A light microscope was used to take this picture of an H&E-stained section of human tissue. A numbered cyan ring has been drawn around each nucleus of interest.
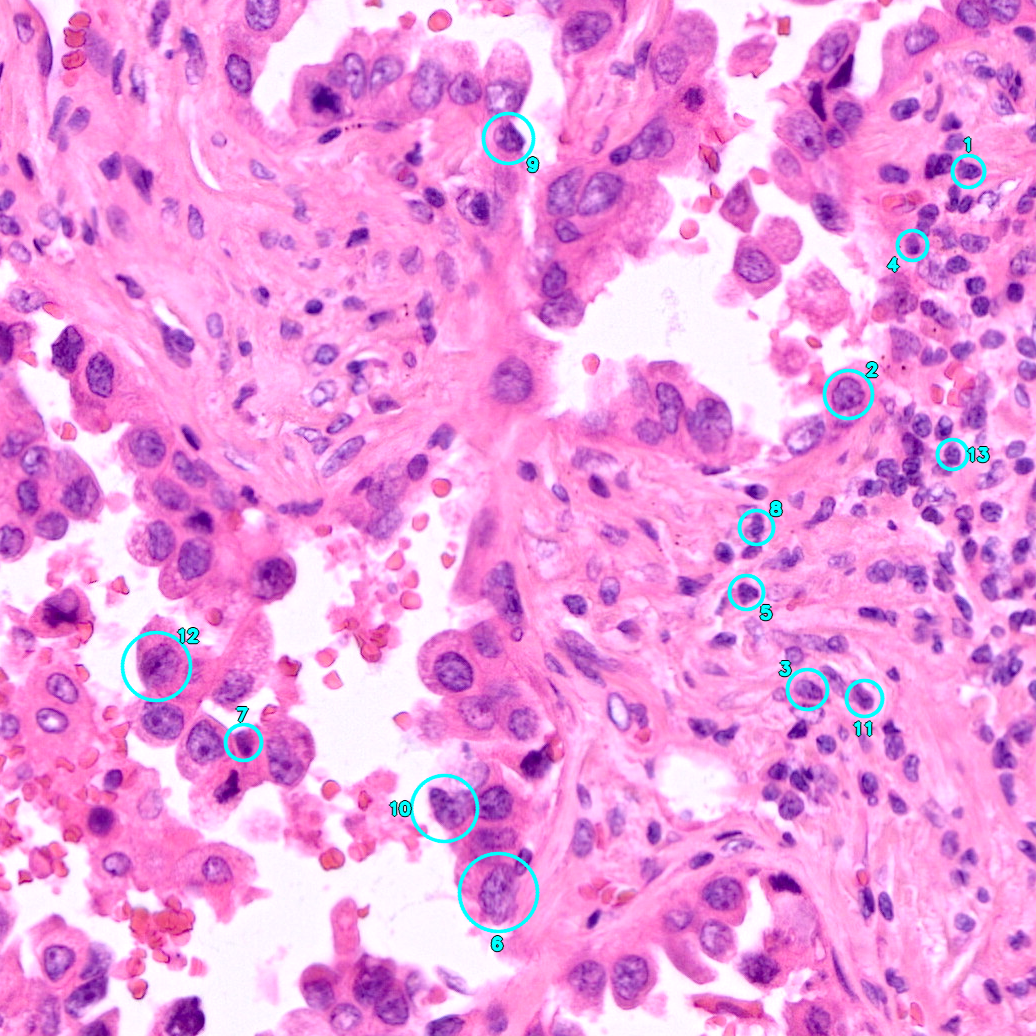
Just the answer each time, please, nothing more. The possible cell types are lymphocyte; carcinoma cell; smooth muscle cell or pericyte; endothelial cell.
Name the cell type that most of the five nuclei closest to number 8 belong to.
lymphocyte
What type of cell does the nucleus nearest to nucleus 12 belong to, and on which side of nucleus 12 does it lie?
a carcinoma cell; to the right of nucleus 12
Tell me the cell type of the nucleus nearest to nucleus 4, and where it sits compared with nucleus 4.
a lymphocyte; above and to the right of nucleus 4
